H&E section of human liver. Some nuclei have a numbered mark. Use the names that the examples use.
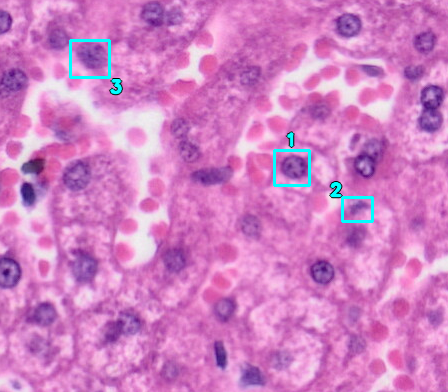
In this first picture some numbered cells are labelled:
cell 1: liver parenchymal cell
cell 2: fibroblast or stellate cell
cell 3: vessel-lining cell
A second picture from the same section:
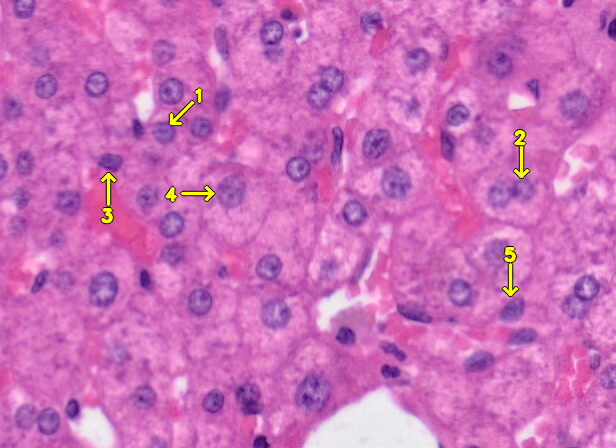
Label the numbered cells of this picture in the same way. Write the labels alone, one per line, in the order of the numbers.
liver parenchymal cell
liver parenchymal cell
fibroblast or stellate cell
liver parenchymal cell
vessel-lining cell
